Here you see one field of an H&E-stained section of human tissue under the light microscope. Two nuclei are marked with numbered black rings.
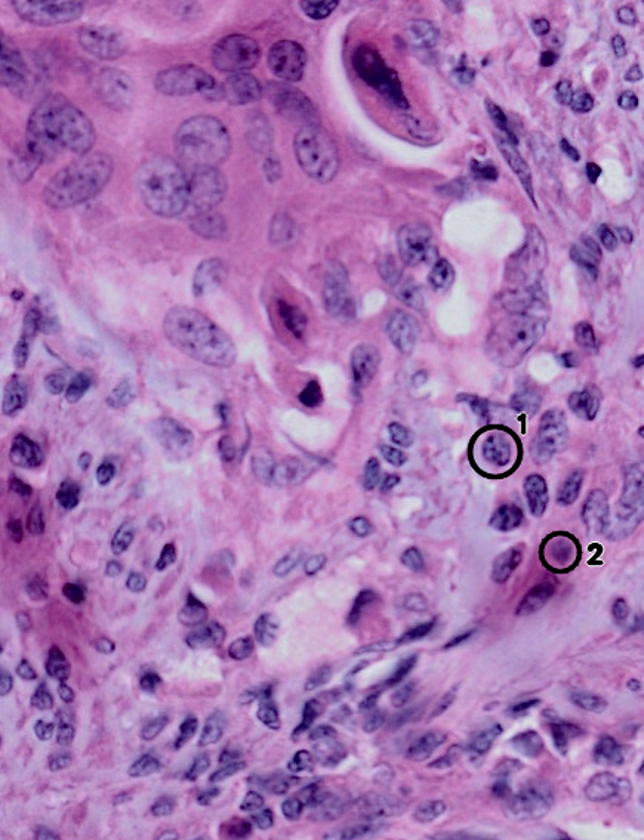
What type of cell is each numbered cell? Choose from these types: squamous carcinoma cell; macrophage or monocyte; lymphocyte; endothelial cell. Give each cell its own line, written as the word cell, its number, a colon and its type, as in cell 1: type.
cell 1: lymphocyte
cell 2: endothelial cell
